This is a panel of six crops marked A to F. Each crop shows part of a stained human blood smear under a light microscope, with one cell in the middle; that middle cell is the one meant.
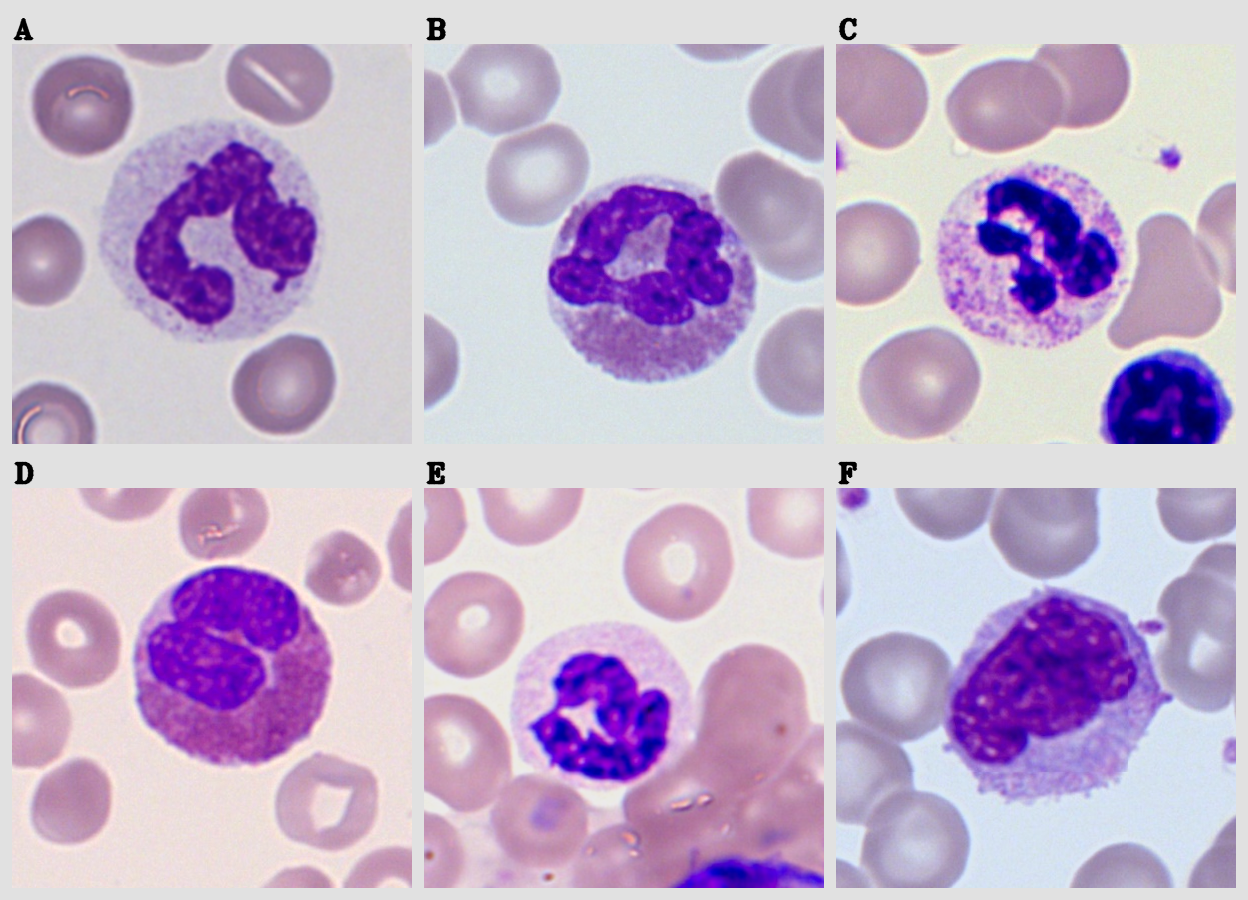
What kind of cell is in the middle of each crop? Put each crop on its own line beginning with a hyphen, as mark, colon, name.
- A: segmented neutrophil
- B: eosinophil
- C: segmented neutrophil
- D: eosinophil
- E: segmented neutrophil
- F: monocyte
